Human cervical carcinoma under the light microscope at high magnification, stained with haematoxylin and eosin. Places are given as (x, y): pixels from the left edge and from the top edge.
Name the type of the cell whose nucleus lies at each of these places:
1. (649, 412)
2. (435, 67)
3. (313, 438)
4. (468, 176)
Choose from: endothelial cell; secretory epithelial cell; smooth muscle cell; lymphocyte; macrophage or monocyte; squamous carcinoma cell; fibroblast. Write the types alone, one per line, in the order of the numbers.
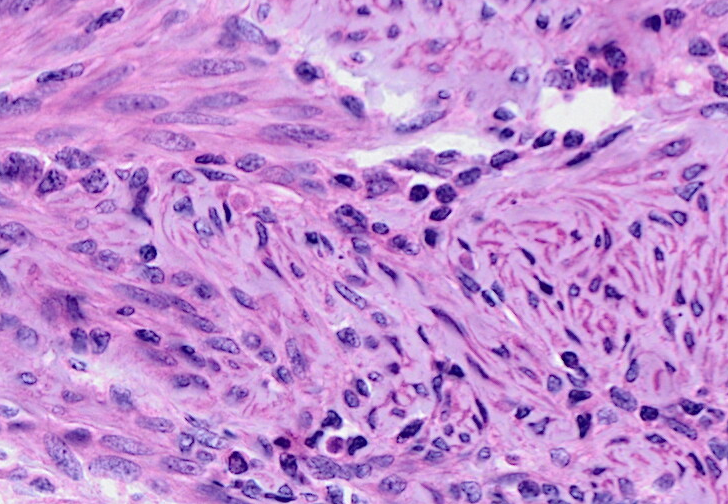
lymphocyte
smooth muscle cell
lymphocyte
lymphocyte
